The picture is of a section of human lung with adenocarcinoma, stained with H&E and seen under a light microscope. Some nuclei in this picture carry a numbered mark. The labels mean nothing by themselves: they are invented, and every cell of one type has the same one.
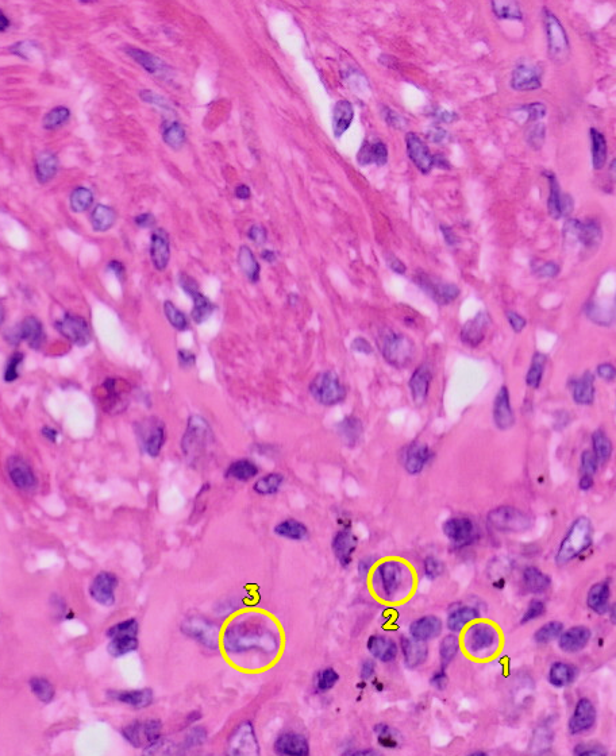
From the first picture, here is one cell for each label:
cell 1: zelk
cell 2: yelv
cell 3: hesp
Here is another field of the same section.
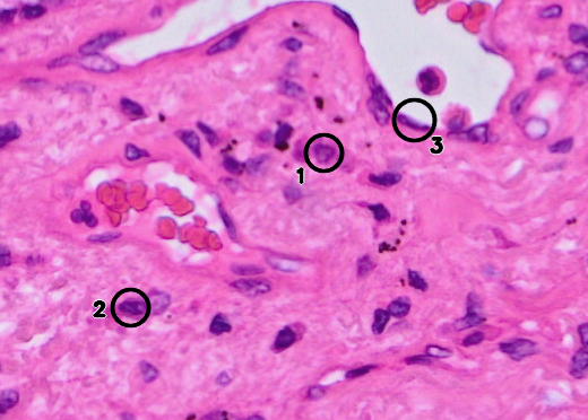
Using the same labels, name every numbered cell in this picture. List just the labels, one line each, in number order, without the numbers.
yelv
yelv
hesp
